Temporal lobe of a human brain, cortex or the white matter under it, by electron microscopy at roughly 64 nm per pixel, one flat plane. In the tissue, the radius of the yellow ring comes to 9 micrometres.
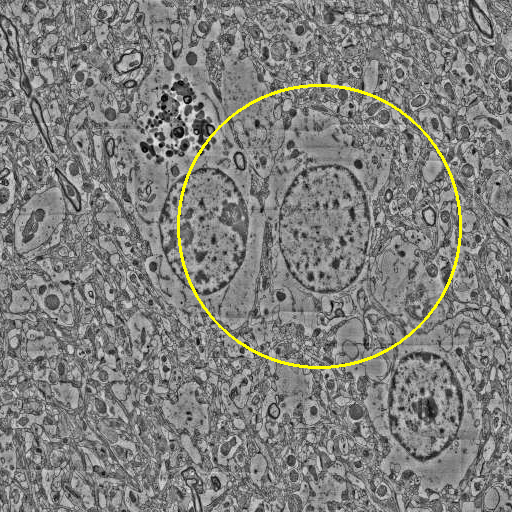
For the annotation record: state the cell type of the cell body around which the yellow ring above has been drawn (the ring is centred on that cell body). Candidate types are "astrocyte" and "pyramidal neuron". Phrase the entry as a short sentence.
The ringed cell is an astrocyte.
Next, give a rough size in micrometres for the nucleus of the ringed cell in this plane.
Roughly 8 by 6 micrometres is the size of the nucleus in this plane.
